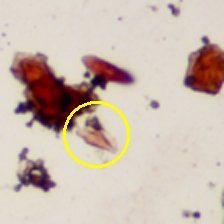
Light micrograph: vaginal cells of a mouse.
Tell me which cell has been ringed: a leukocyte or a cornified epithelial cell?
It is a cornified epithelial cell.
